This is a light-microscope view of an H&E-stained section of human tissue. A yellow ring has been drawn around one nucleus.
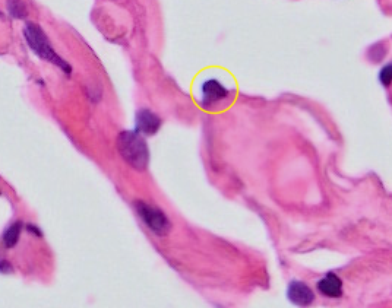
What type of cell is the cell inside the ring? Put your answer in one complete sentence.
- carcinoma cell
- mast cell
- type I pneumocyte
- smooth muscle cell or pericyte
Among the cells in this section, the cell inside the ring is a type I pneumocyte.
